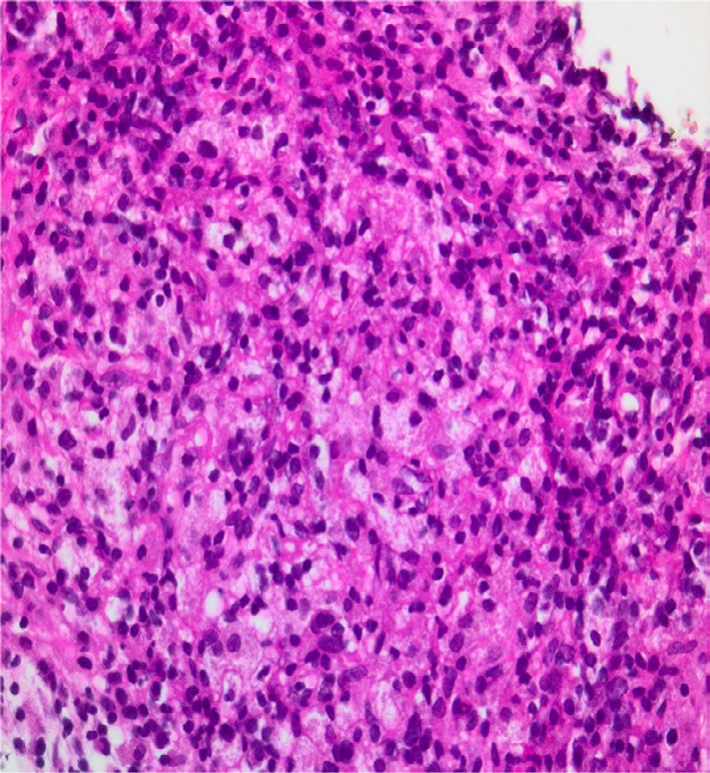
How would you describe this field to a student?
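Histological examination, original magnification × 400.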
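This is a dense inflammatory infiltrate in which small lymphocytes, with round, dark purple nuclei and barely any cytoplasm, crowd around larger histiocytes. The histiocytes have oval, paler nuclei and plentiful pale pink cytoplasm that looks finely bubbly or foamy, and they gather in loose pale clusters. Together these clusters of histiocytes, ringed by lymphocytes, give the picture of a granulomatous inflammation, with no normal glands left in view.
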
